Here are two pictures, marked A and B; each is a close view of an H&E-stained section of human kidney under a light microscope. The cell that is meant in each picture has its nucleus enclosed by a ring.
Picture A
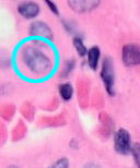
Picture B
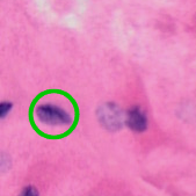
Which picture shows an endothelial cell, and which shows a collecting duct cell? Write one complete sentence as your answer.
Picture A shows a collecting duct cell and picture B shows an endothelial cell.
